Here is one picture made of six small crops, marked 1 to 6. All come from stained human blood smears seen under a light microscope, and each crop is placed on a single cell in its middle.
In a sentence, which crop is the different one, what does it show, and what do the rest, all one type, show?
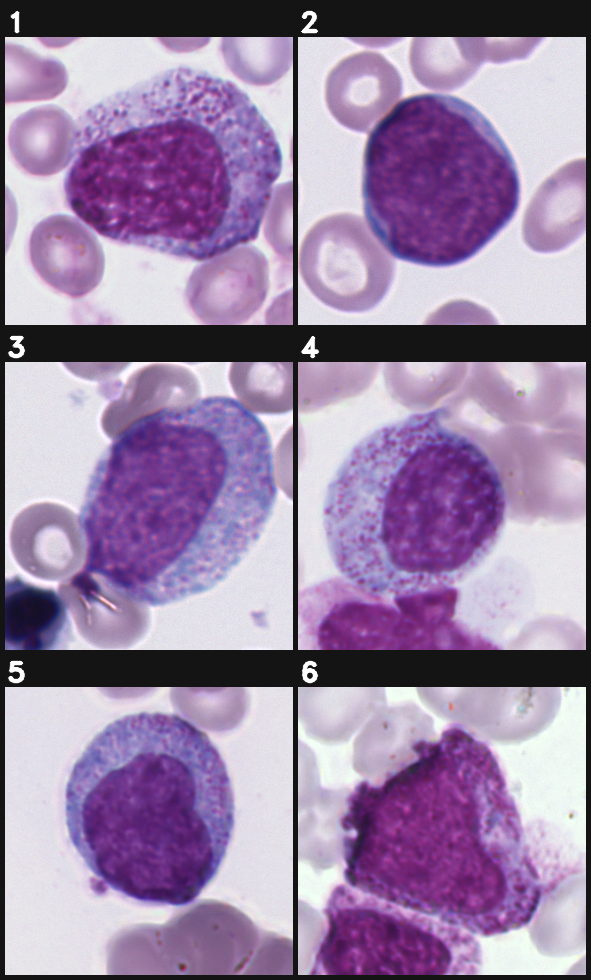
Crop 2 stands apart from the rest as a myeloblast, the others all being promyelocytes.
